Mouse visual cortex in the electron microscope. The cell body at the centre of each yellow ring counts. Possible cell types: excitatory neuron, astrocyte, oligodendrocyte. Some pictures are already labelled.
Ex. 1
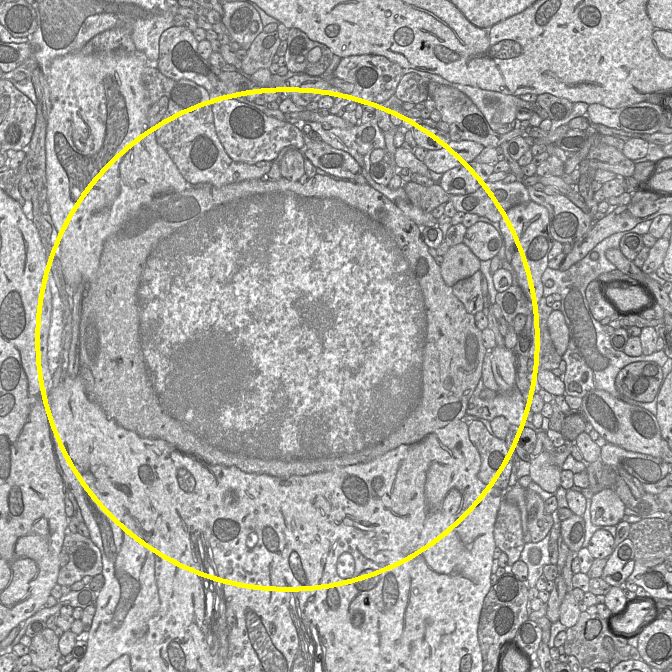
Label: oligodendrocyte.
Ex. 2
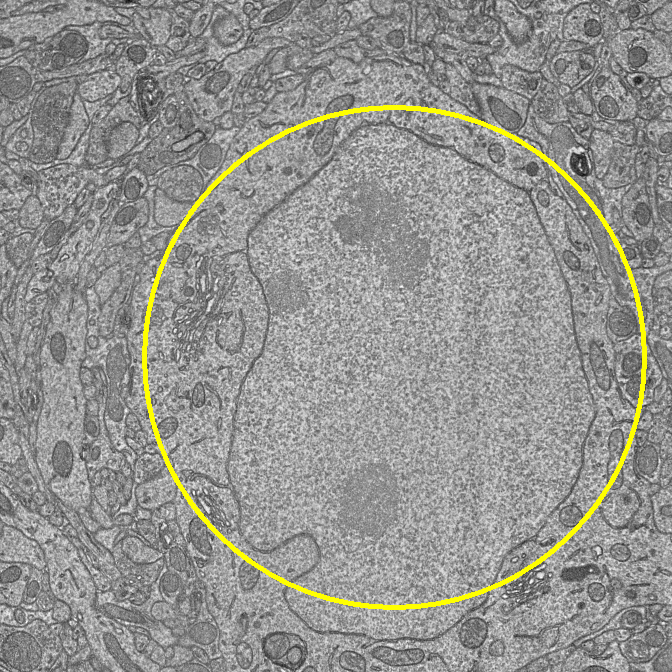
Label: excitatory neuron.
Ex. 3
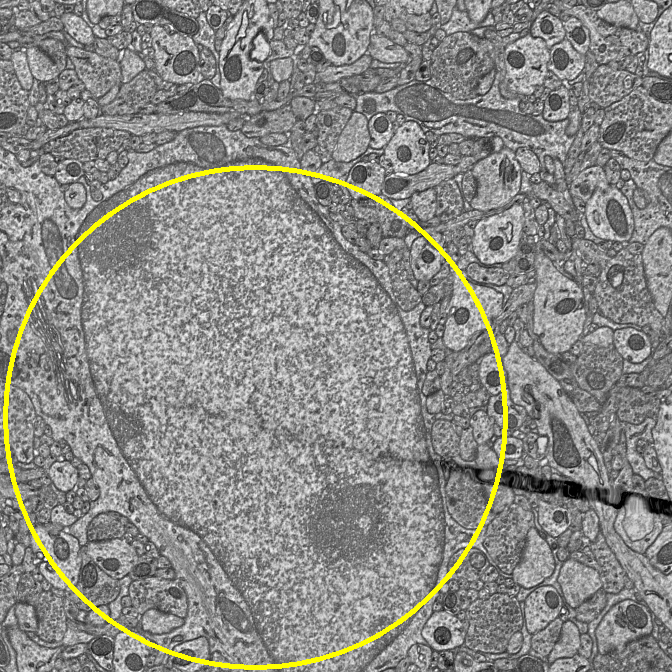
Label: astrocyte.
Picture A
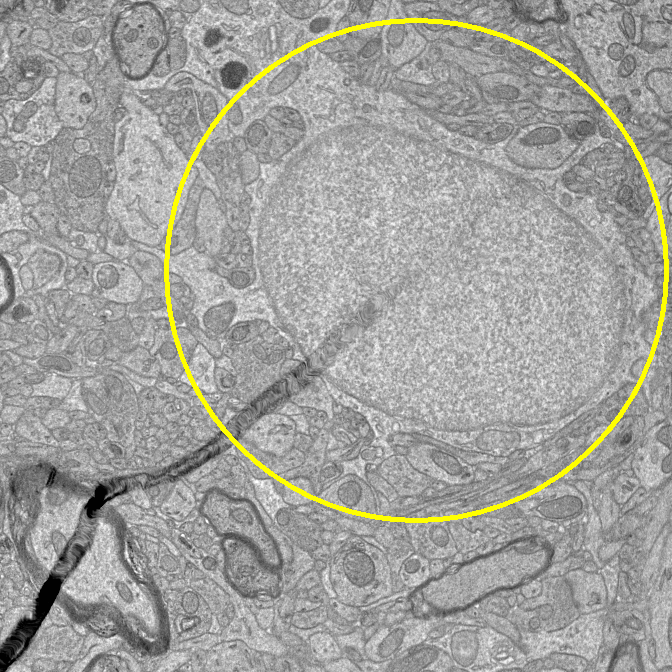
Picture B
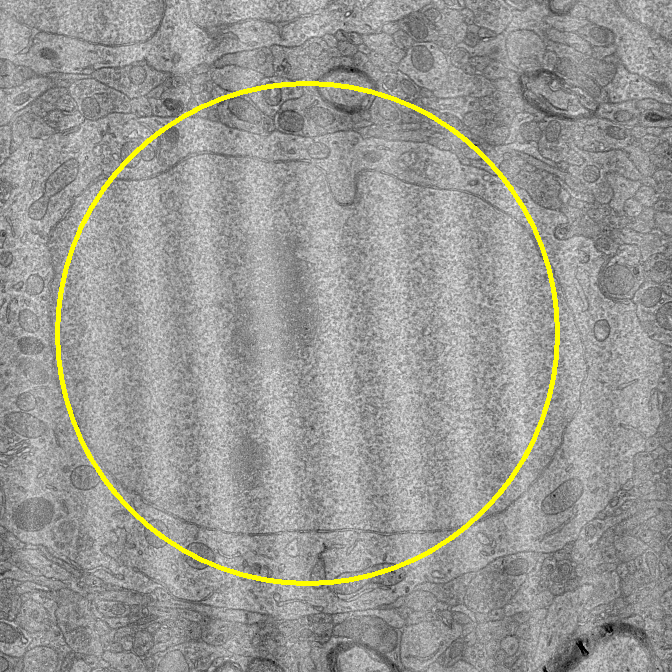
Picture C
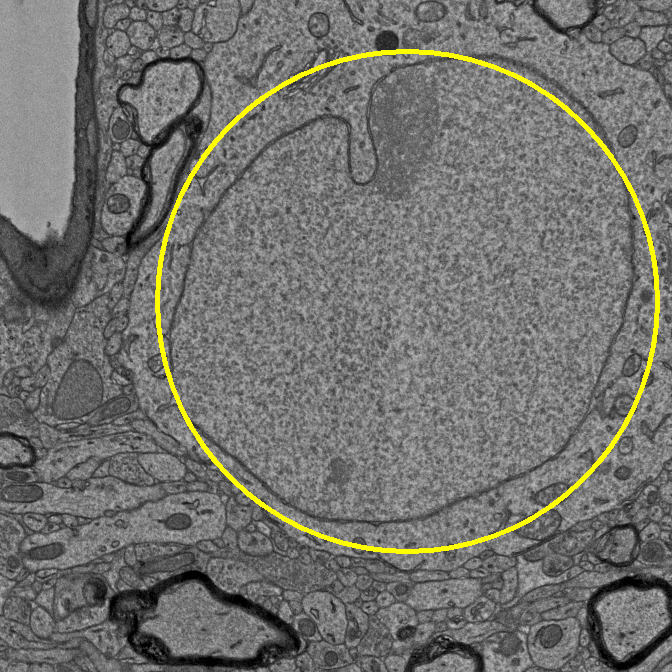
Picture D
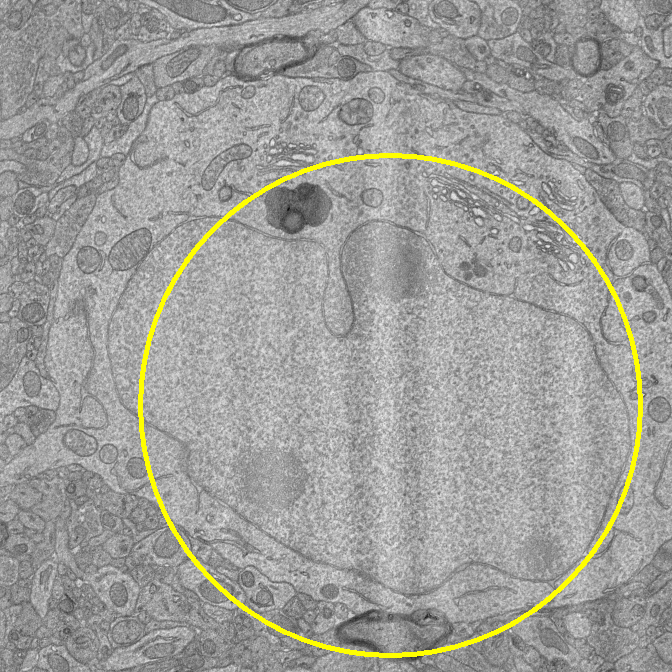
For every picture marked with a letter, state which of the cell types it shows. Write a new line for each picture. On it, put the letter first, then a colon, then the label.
A: astrocyte.
B: excitatory neuron.
C: excitatory neuron.
D: excitatory neuron.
